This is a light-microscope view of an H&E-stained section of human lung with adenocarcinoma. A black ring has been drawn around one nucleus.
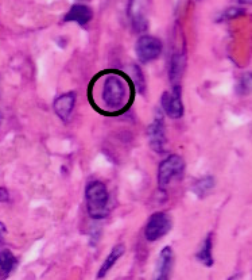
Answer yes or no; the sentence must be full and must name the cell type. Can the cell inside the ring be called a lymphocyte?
No, the cell inside the ring is a plasma cell rather than a lymphocyte in this section.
